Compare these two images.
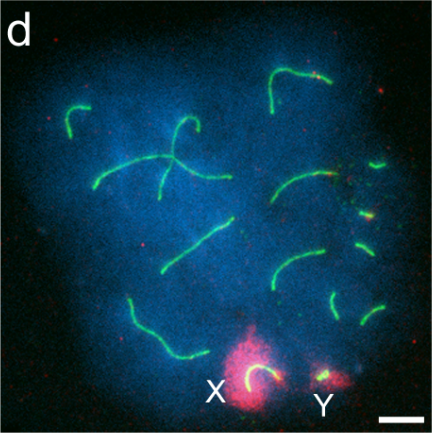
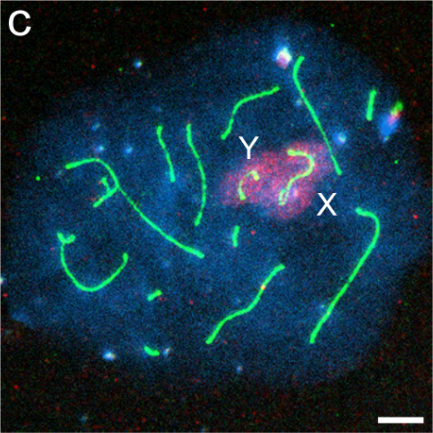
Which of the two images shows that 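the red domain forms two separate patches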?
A: The first image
